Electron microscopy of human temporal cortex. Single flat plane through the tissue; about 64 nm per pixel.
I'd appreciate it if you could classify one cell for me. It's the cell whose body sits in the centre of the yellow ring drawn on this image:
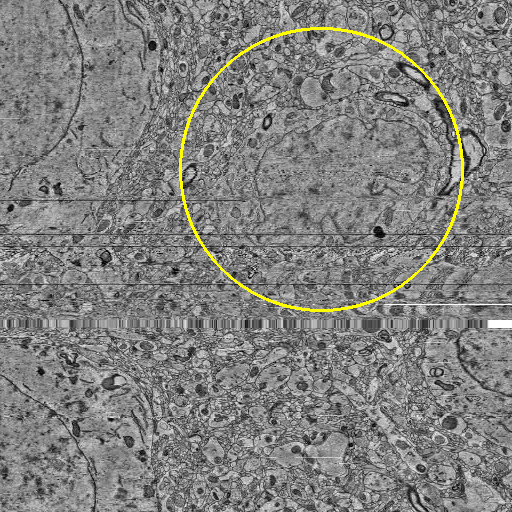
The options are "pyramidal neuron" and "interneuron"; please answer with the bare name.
interneuron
